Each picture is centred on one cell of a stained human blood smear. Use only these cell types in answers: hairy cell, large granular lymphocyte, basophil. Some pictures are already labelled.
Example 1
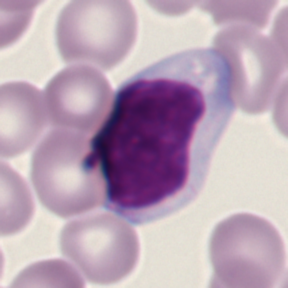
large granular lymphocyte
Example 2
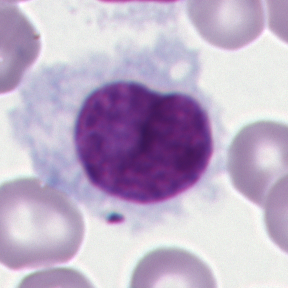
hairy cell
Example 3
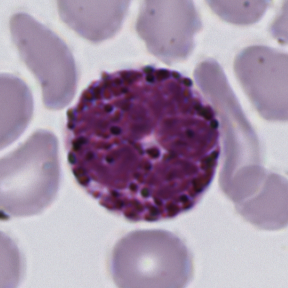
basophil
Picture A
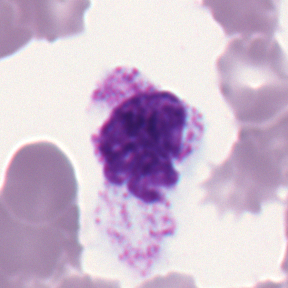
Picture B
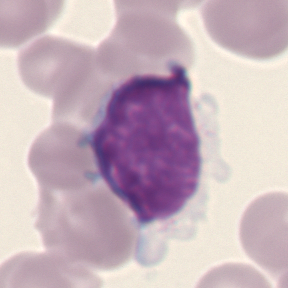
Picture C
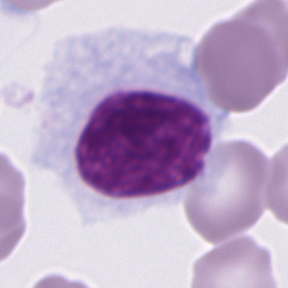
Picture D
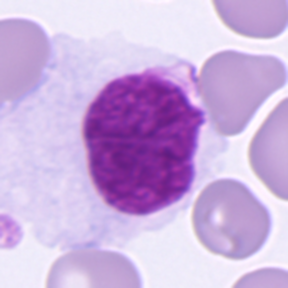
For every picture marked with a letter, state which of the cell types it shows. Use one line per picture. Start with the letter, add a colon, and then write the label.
A: basophil
B: large granular lymphocyte
C: hairy cell
D: hairy cell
